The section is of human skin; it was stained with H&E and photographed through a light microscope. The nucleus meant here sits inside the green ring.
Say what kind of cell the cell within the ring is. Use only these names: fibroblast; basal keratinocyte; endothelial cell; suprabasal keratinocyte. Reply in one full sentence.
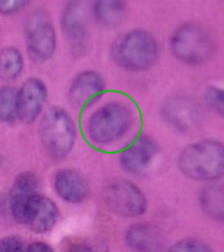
The cell within the ring is a suprabasal keratinocyte.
